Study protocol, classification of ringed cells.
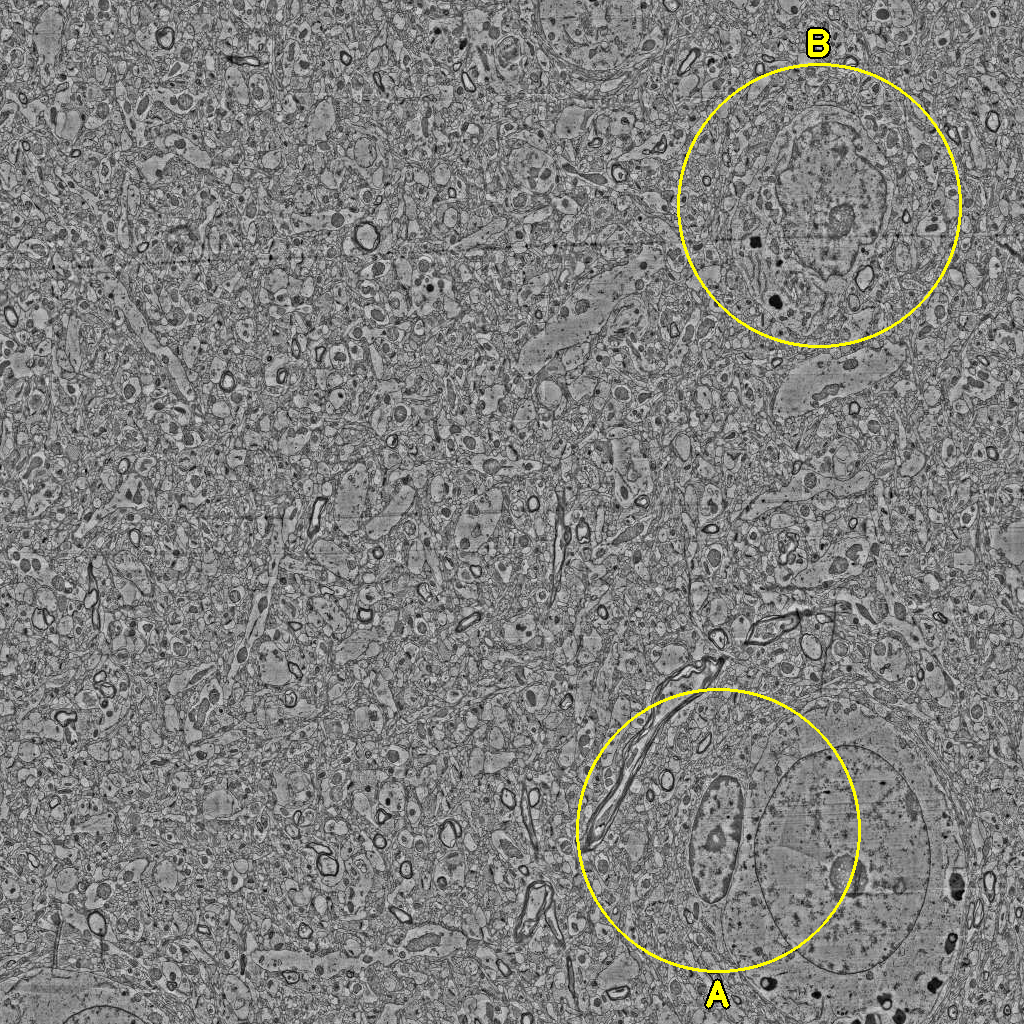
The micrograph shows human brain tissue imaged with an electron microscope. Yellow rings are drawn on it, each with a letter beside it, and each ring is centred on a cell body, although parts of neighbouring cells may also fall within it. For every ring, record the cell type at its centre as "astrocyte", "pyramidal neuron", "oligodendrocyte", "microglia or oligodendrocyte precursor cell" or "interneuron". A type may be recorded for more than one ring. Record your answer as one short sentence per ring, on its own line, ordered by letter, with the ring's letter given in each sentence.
Ring A has been centred on a microglial cell or oligodendrocyte precursor cell.
Ring B has been centred on an interneuron.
